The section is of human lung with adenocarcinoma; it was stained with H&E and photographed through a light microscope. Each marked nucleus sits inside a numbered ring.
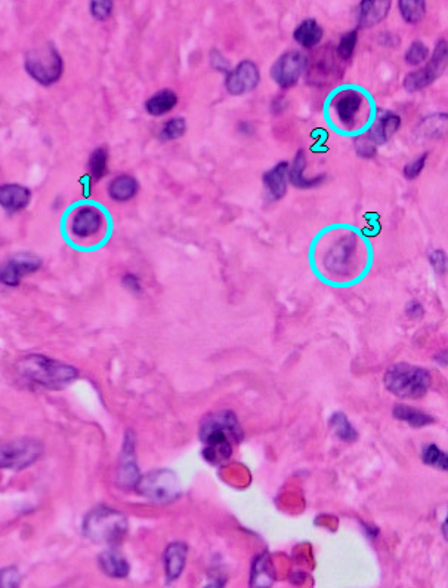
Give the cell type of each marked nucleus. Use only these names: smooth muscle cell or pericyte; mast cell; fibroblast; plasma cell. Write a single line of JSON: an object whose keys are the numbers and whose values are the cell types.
{"1": "mast cell", "2": "plasma cell", "3": "fibroblast"}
